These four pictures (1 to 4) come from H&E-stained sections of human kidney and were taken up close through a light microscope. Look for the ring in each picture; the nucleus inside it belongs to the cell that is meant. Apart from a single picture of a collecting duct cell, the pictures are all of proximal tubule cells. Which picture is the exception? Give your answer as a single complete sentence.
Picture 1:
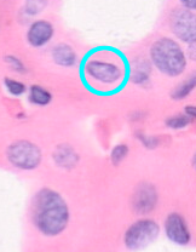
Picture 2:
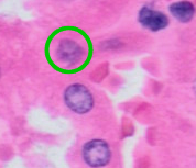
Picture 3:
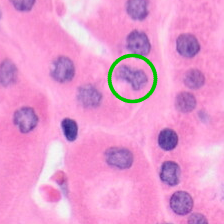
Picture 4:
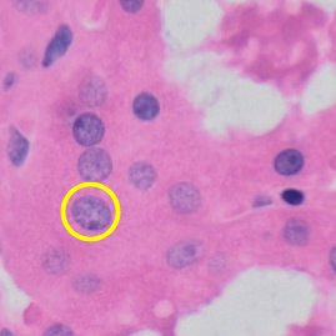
The picture with the collecting duct cell is 1.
